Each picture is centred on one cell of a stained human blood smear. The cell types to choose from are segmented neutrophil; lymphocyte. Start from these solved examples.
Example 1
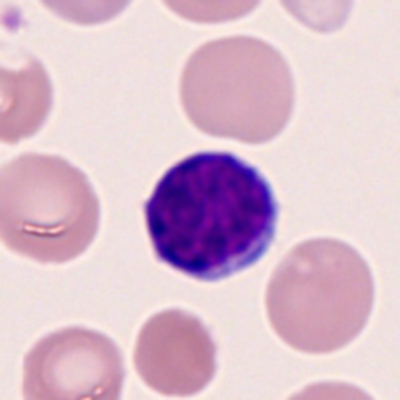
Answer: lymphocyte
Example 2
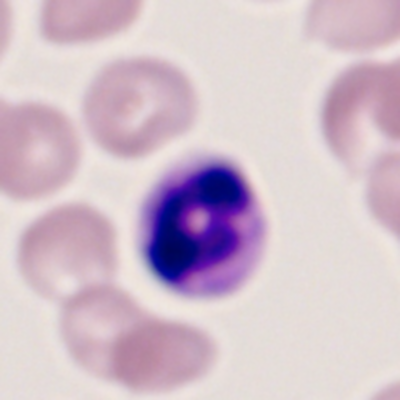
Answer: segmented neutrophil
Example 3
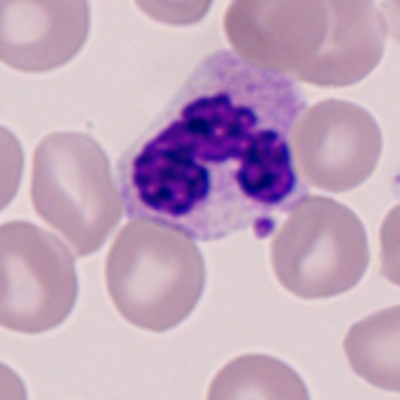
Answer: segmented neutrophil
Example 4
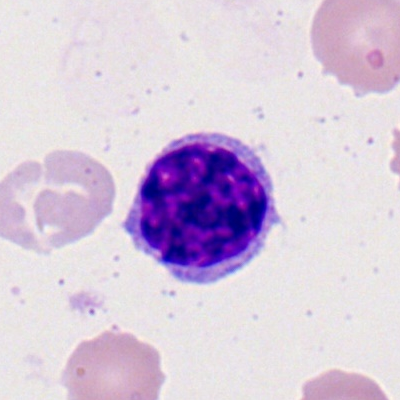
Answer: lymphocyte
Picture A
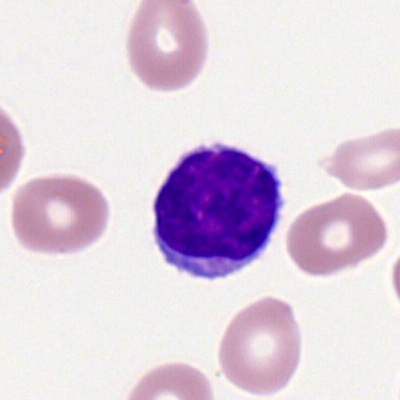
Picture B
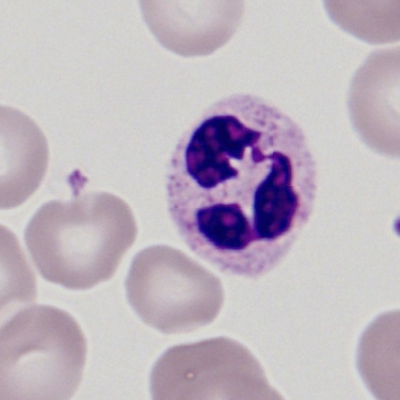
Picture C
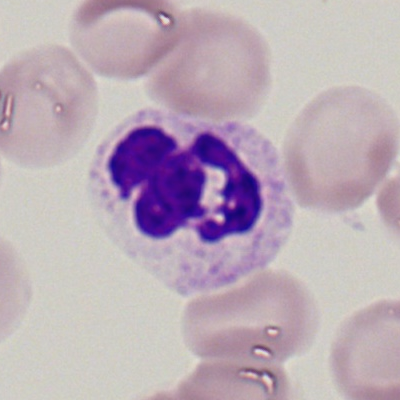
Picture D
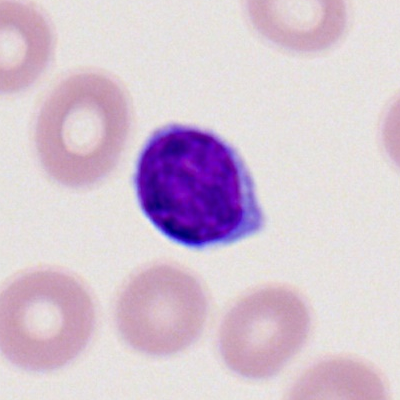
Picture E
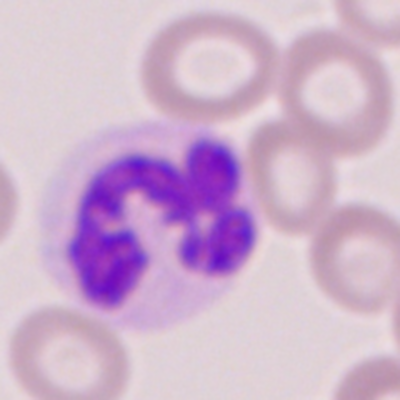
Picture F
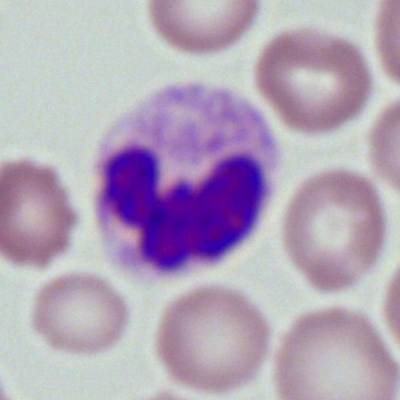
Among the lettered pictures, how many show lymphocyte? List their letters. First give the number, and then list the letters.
2: A, D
